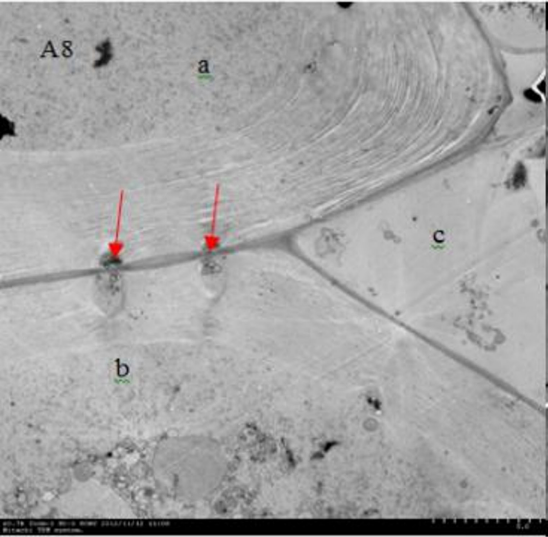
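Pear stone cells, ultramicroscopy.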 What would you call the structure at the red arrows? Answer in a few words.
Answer: pit pairs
